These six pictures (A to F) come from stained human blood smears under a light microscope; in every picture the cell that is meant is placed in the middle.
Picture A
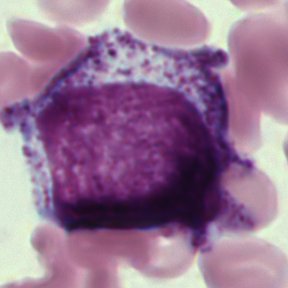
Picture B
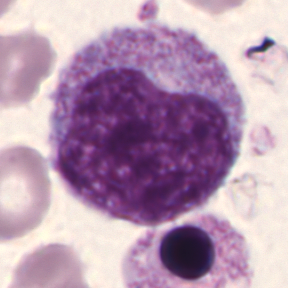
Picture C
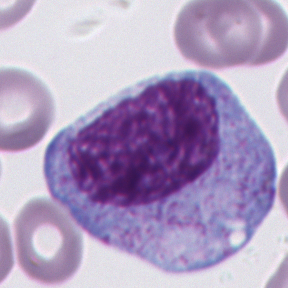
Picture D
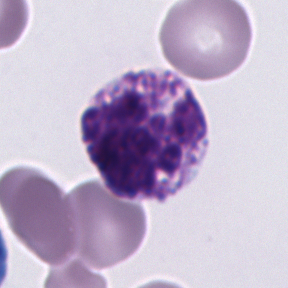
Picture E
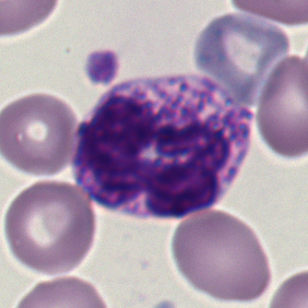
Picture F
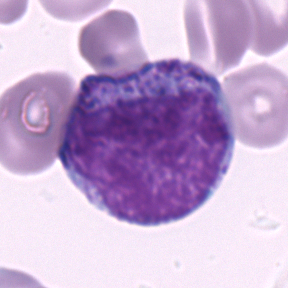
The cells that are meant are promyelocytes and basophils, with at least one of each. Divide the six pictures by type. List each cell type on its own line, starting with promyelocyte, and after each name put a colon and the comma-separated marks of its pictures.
promyelocyte: A, B, C, F
basophil: D, E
